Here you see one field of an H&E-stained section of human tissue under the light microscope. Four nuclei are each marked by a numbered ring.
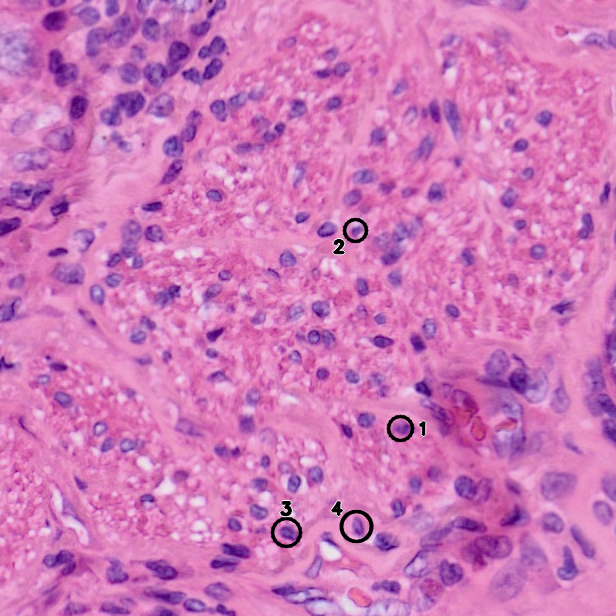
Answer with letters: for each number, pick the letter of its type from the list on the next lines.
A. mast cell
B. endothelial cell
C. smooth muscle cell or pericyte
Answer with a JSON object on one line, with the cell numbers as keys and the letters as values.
{"1": "C", "2": "C", "3": "C", "4": "A"}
